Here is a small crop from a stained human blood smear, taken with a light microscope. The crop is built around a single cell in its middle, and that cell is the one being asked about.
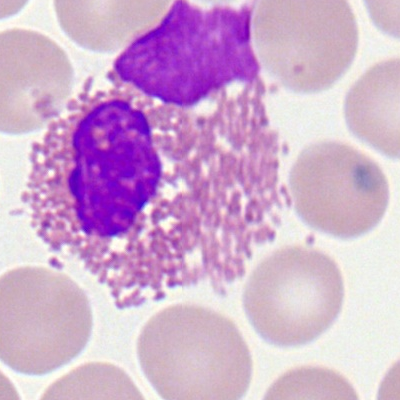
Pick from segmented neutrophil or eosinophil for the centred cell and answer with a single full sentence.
This crop is built around an eosinophil at its centre.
